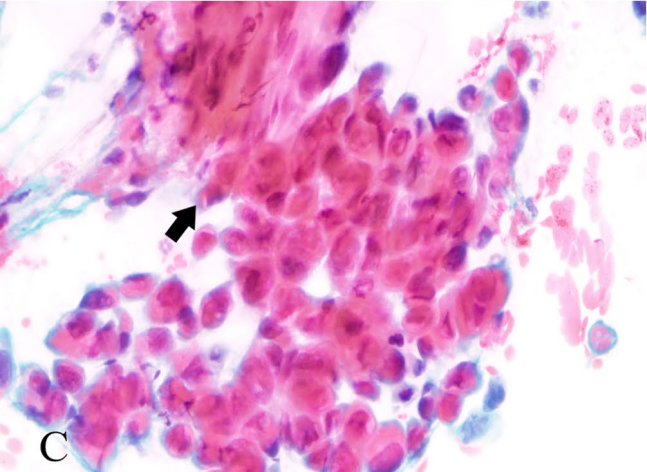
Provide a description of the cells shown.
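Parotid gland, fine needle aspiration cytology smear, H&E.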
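A large cluster of overlapping cells with pink cytoplasm fills the field, their nuclei enlarged and varying in size and shape, with some cells at the edge showing blue-green cytoplasm. Red blood cells and wisps of fibrillary material lie around the group. These are atypical epithelial cells with eosinophilic cytoplasm and enlarged, irregular nuclei.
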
